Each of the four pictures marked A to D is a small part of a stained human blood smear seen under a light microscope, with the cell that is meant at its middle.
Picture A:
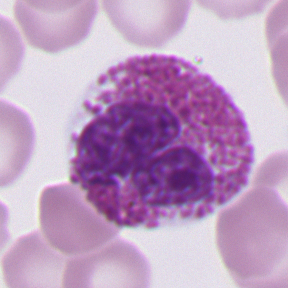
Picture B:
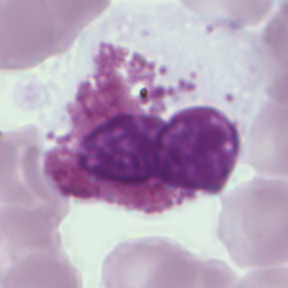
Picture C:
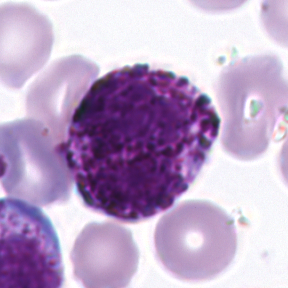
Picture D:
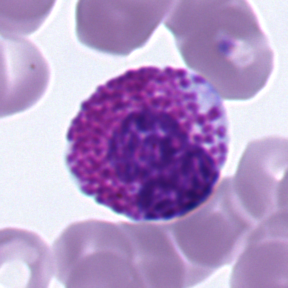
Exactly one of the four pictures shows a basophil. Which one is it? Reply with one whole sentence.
The cell in picture C is the basophil.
